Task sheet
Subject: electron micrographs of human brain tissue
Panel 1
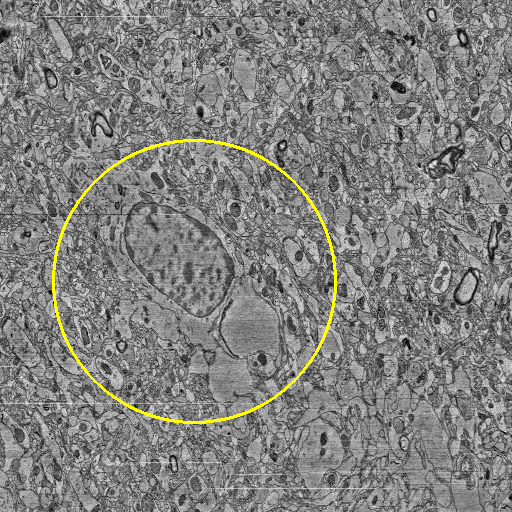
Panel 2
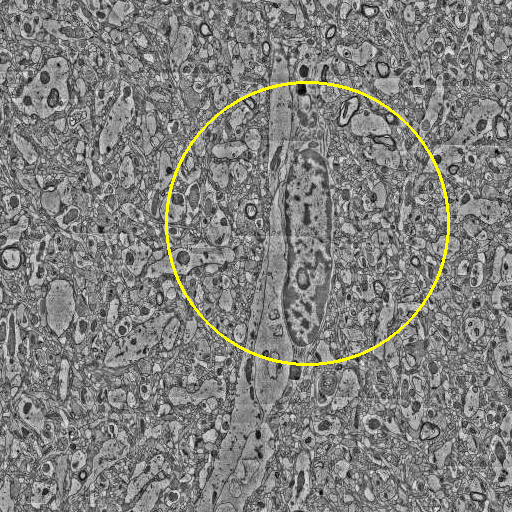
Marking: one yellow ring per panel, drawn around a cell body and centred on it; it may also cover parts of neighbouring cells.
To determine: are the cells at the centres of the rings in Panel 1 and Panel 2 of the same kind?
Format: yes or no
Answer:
yes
